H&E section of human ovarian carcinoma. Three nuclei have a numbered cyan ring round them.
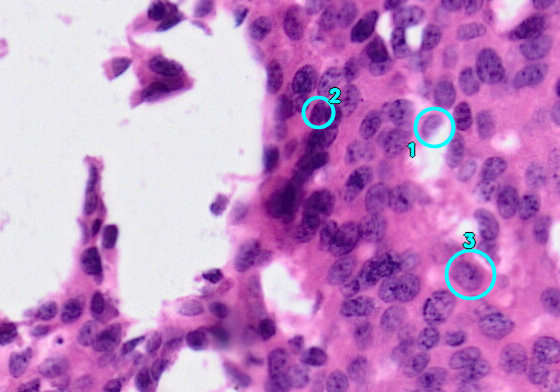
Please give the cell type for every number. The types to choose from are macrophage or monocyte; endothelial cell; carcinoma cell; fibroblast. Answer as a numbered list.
1. carcinoma cell
2. carcinoma cell
3. endothelial cell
